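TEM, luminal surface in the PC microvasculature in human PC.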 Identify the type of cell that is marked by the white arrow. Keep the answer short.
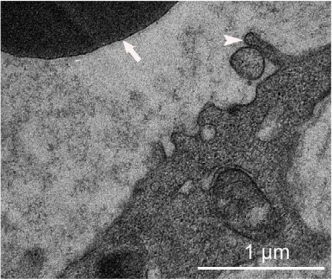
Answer: Red blood cells.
